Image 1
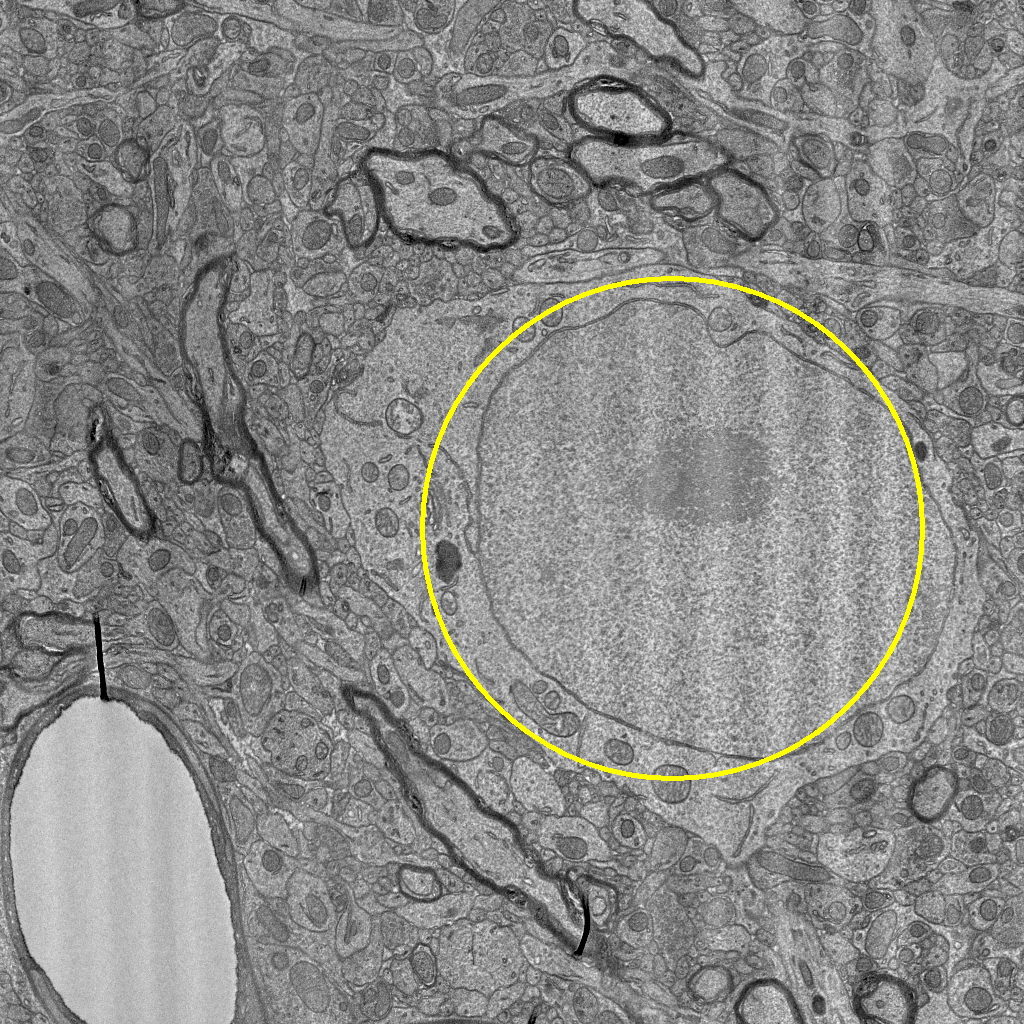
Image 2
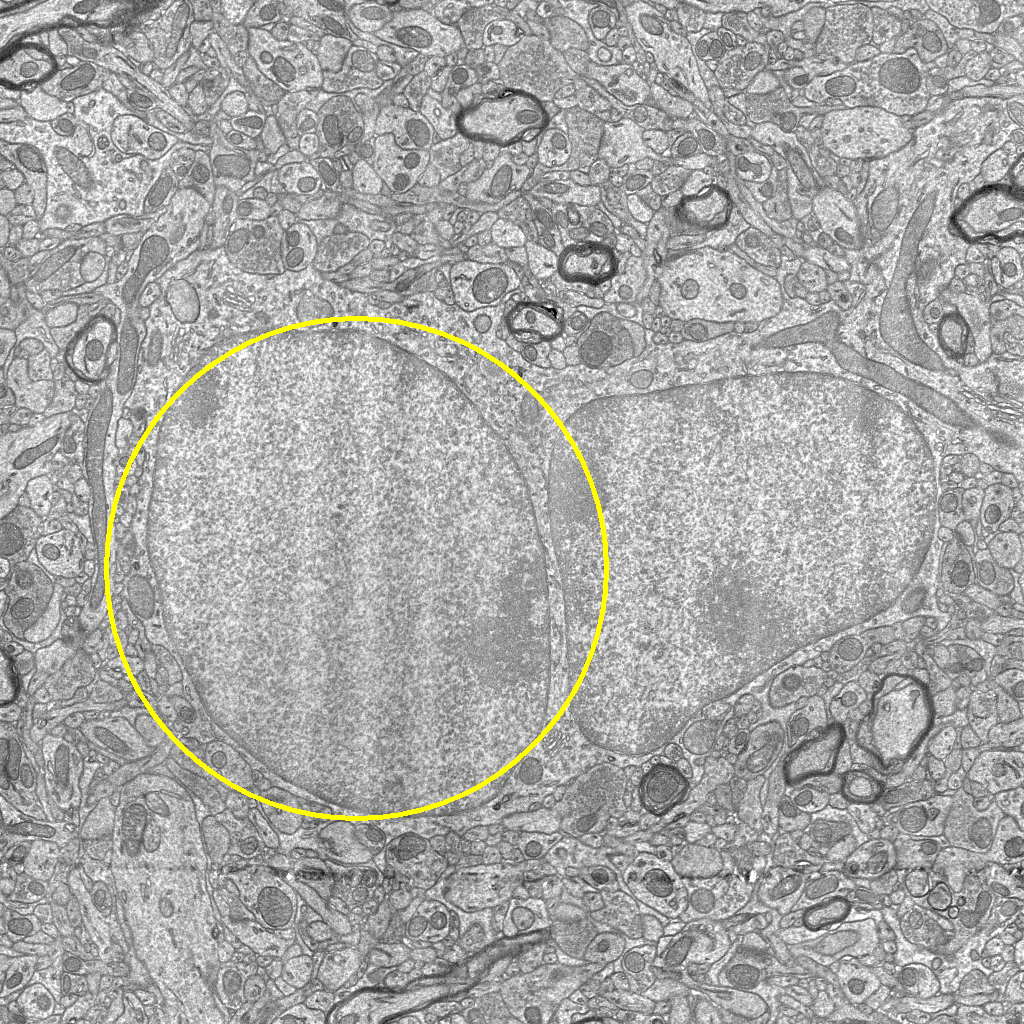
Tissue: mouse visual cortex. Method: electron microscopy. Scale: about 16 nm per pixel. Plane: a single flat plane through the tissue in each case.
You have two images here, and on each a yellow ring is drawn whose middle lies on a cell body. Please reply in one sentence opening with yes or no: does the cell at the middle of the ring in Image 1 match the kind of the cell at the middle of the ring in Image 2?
No, the two images show cells of two kinds at the centres of their rings.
